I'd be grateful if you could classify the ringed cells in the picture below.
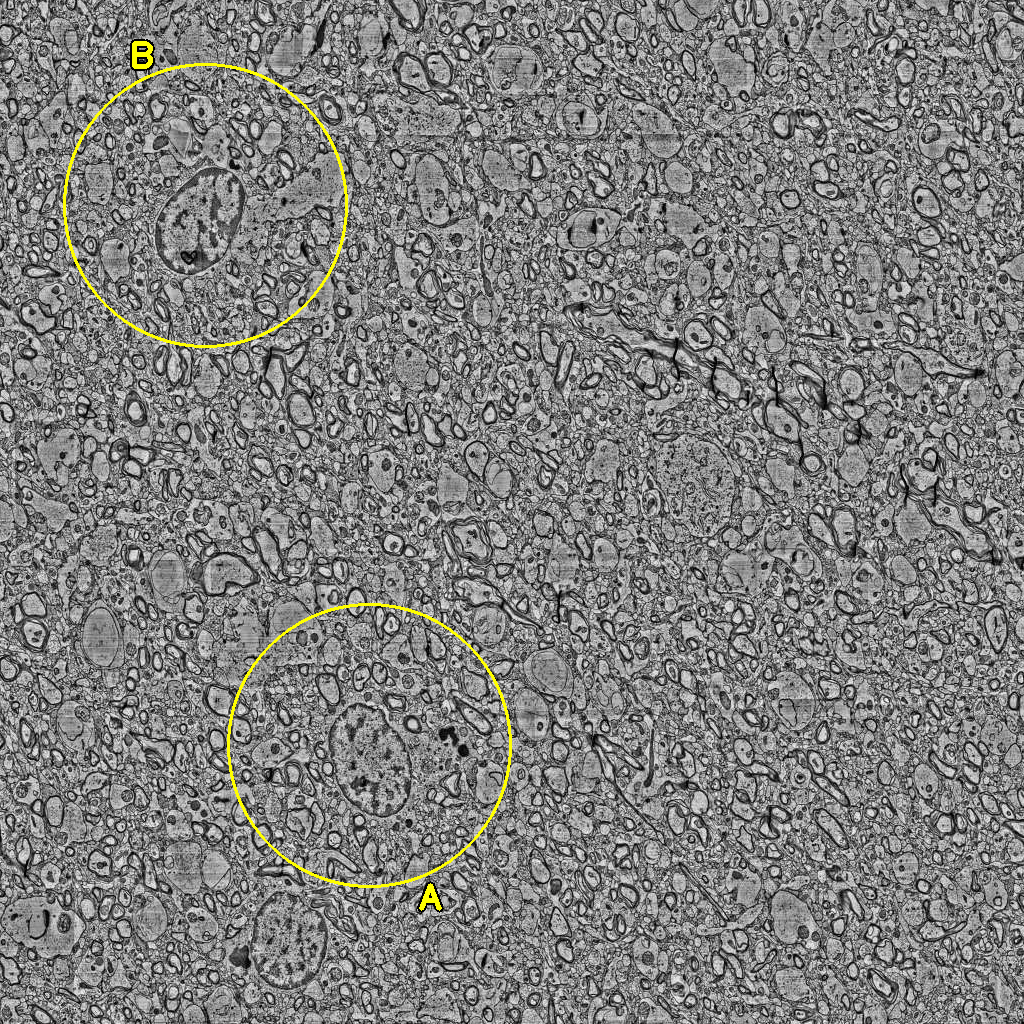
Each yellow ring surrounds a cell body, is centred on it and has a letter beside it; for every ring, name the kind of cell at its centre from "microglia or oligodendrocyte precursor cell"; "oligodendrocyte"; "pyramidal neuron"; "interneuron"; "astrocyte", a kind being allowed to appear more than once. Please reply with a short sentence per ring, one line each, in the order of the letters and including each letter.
In ring A we have an oligodendrocyte.
In ring B we have a microglial cell or oligodendrocyte precursor cell.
